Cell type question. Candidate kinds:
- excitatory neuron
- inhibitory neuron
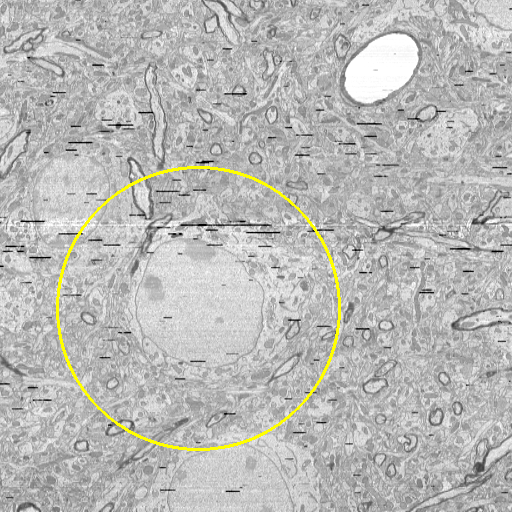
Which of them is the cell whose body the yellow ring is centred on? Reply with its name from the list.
excitatory neuron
